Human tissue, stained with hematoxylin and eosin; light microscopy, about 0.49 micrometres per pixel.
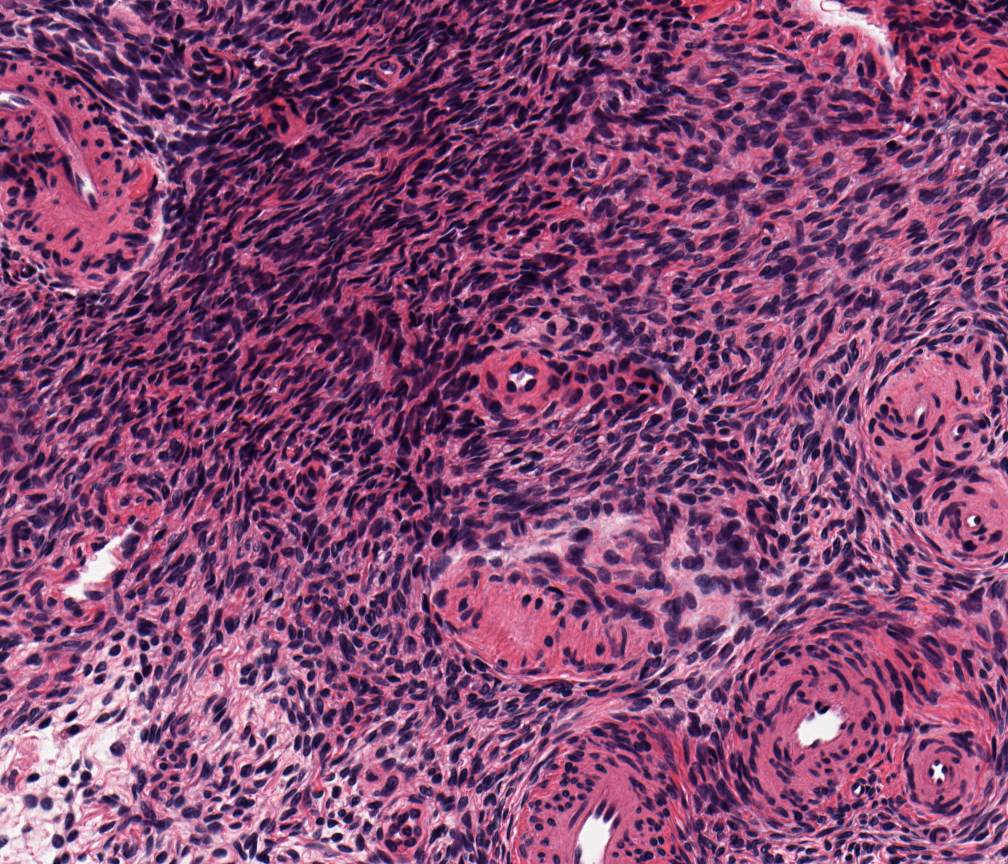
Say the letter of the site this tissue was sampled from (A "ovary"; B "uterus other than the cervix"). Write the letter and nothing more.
A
